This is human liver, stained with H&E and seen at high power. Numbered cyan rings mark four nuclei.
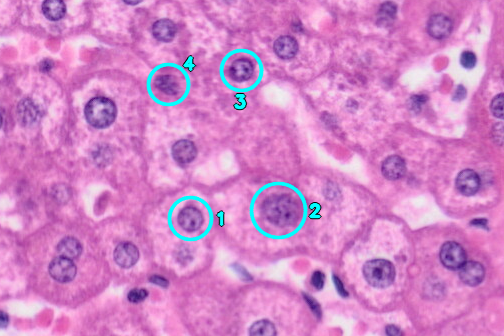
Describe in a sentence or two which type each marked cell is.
Cells 1, 2 and 3 are hepatocytes. Cell 4 is a fibroblast or stellate cell.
